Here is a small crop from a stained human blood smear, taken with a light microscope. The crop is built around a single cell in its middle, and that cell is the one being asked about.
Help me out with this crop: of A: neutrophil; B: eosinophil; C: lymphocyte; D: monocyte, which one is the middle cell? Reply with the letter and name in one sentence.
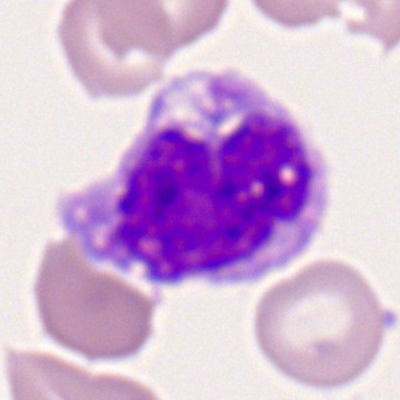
The central cell is a monocyte, which makes option D the right answer.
